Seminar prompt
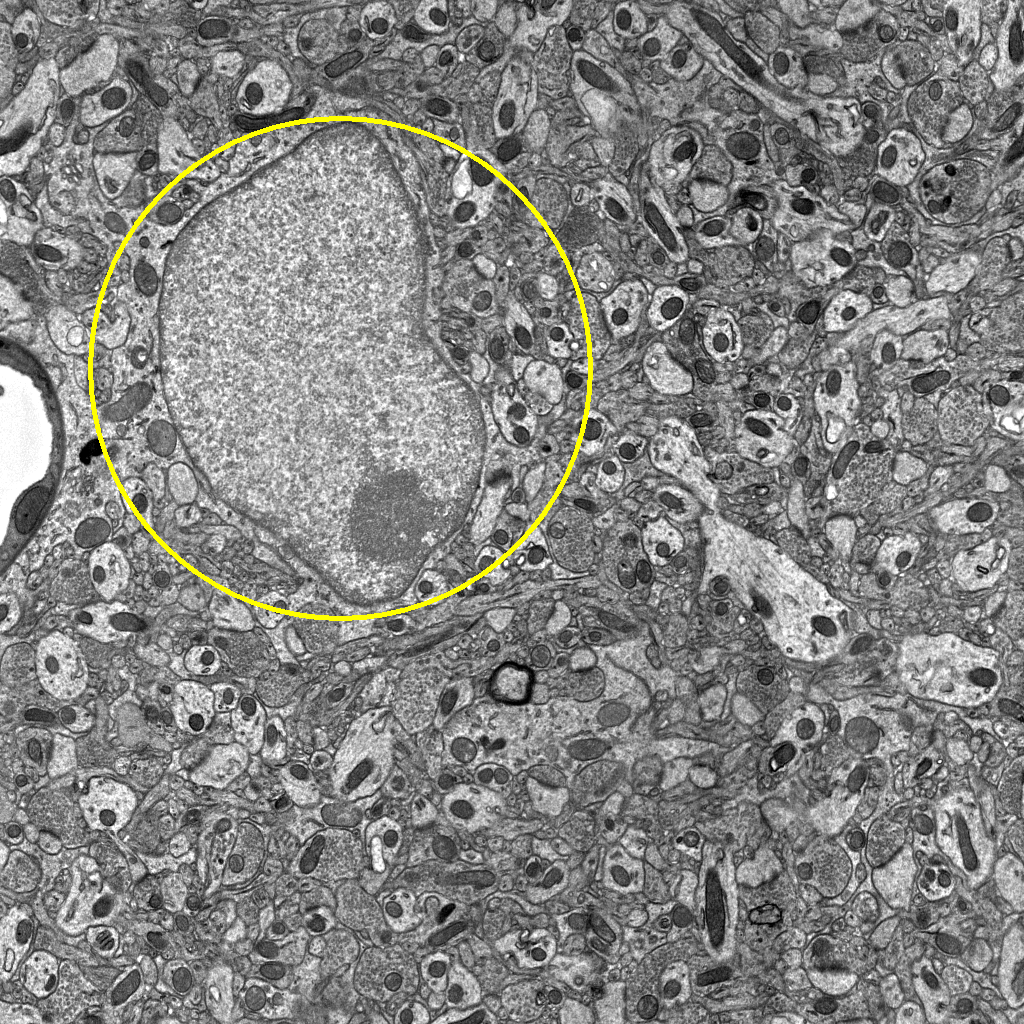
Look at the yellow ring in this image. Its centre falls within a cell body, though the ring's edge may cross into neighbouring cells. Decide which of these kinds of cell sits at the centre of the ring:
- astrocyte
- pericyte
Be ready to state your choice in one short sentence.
The kind of cell at the ring's centre is an astrocyte.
